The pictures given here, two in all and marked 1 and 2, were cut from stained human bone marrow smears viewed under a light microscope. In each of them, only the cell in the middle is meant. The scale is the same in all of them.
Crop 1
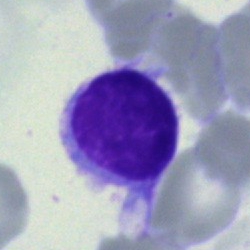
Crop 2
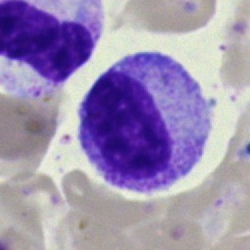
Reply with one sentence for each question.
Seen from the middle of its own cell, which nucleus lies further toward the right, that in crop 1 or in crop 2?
It is the nucleus in crop 1 that lies further toward the right of its cell.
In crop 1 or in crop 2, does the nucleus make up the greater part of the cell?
Of the two, the nucleus in crop 1 makes up the greater part of its cell.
